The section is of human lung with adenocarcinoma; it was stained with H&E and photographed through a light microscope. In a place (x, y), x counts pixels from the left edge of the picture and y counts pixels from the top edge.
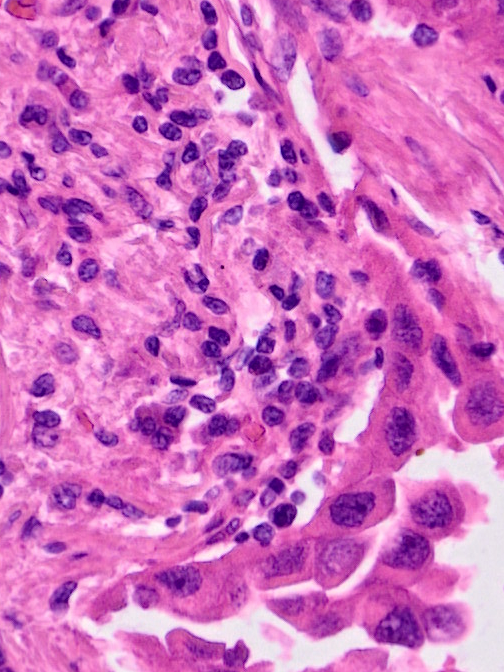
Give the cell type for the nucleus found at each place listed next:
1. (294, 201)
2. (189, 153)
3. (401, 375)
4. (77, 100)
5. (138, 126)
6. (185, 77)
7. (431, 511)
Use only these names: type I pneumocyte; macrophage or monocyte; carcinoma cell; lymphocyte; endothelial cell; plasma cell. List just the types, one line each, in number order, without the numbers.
lymphocyte
lymphocyte
carcinoma cell
plasma cell
lymphocyte
lymphocyte
carcinoma cell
